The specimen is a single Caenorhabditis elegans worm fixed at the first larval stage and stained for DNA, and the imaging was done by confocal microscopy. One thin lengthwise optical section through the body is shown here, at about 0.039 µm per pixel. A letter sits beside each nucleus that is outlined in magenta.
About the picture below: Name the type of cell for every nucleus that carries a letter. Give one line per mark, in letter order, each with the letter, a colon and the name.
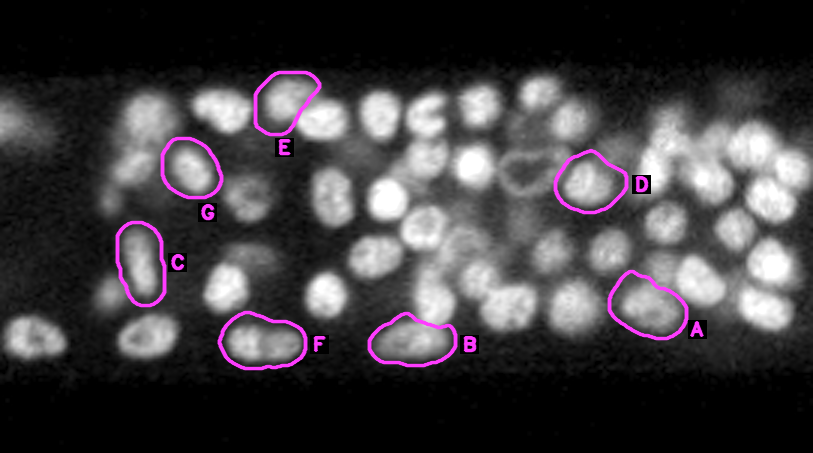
A: neuron
B: body wall muscle cell
C: valve cell of the gut
D: cell of the excretory system
E: neuron
F: body wall muscle cell
G: pharyngeal gland cell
